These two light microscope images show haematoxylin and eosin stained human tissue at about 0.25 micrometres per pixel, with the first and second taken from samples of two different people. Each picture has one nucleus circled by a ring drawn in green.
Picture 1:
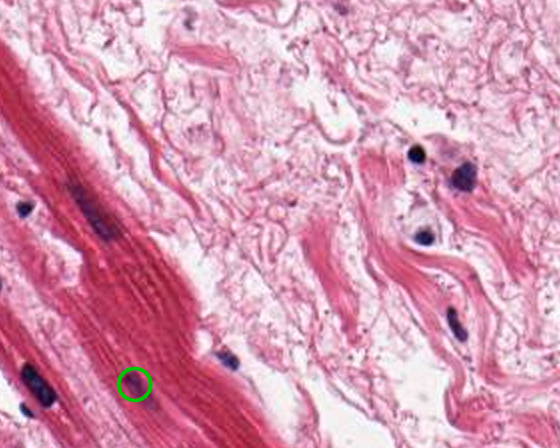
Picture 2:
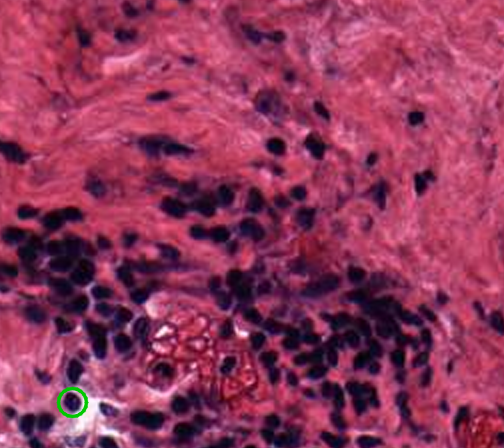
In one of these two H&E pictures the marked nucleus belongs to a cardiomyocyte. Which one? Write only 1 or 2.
1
